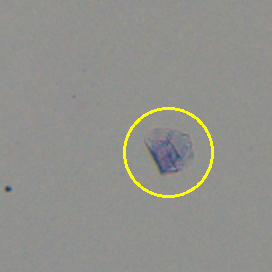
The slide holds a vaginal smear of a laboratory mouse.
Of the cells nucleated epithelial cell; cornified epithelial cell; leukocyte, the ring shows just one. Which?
The ring shows a cornified epithelial cell.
